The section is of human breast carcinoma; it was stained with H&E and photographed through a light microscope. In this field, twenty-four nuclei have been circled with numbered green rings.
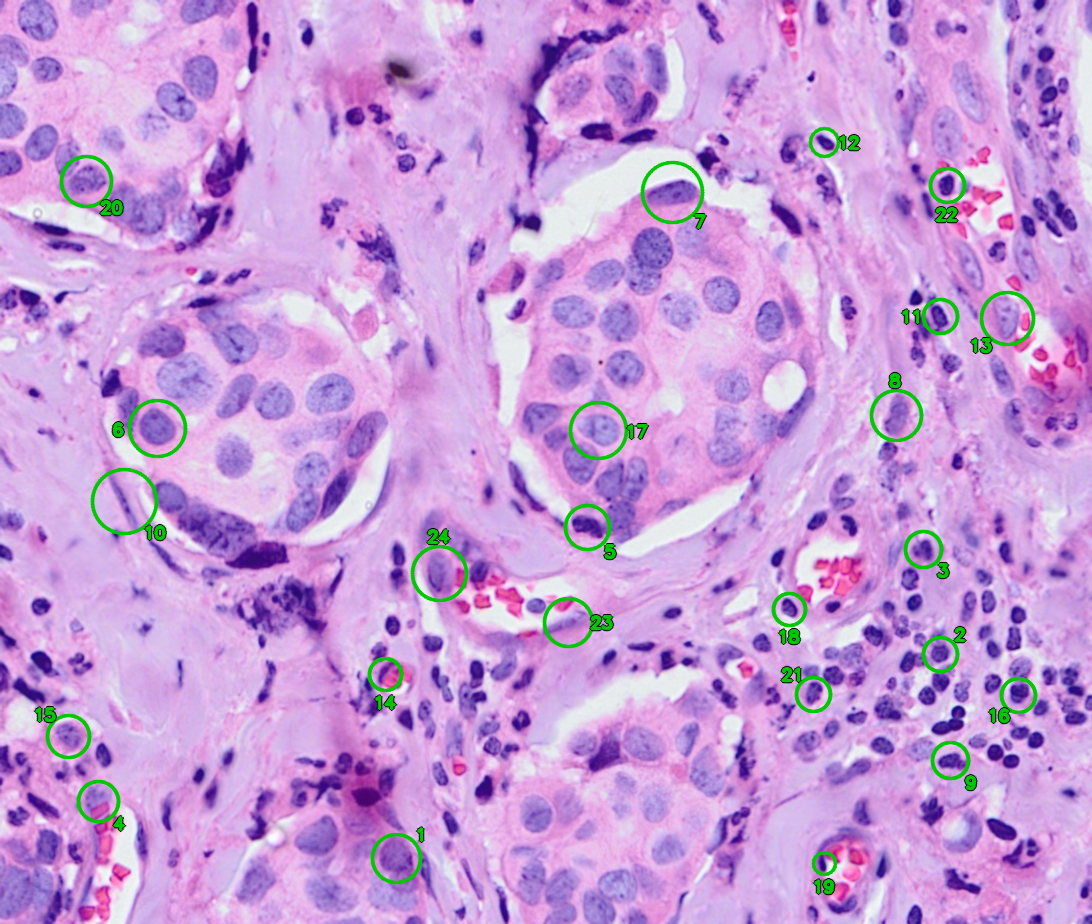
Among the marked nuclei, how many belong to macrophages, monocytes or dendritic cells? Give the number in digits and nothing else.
1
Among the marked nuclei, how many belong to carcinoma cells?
6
